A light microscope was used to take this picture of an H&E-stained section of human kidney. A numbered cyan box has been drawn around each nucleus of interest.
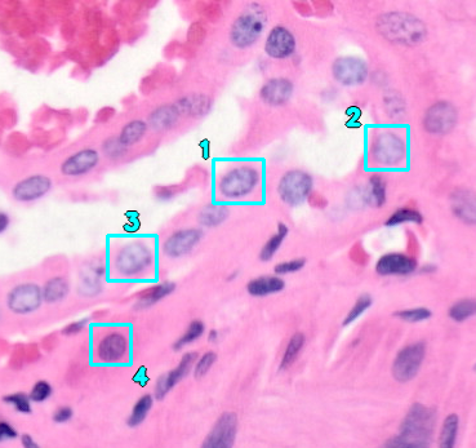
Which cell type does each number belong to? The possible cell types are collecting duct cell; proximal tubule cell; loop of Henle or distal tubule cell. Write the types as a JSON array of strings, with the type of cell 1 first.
["collecting duct cell", "collecting duct cell", "collecting duct cell", "proximal tubule cell"]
